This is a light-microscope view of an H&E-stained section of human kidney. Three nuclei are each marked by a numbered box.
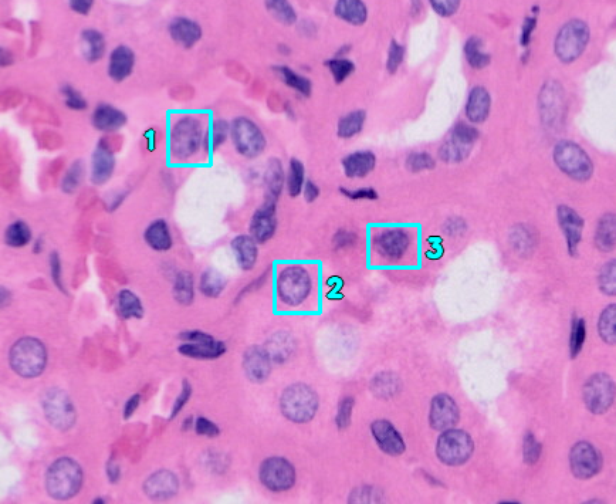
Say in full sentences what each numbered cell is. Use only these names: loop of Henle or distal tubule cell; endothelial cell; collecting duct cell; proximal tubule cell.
Cell 1 is a collecting duct cell. Cells 2 and 3 are proximal tubule cells.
